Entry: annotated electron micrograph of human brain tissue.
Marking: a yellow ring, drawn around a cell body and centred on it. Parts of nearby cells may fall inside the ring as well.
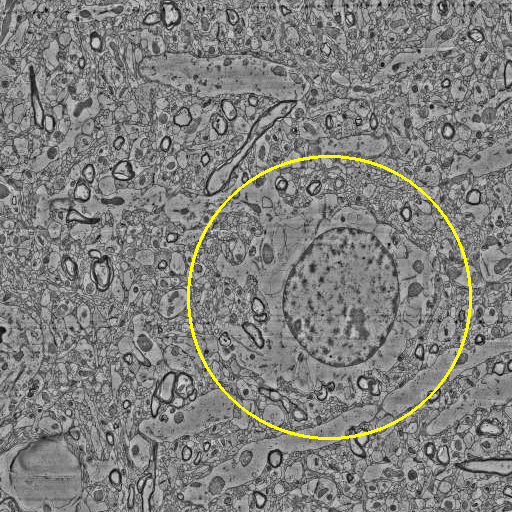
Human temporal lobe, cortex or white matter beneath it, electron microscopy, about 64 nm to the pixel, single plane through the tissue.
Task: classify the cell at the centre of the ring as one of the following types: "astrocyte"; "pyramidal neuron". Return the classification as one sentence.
The marked cell is classified as an astrocyte.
